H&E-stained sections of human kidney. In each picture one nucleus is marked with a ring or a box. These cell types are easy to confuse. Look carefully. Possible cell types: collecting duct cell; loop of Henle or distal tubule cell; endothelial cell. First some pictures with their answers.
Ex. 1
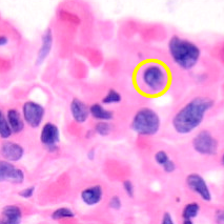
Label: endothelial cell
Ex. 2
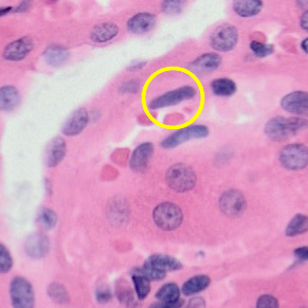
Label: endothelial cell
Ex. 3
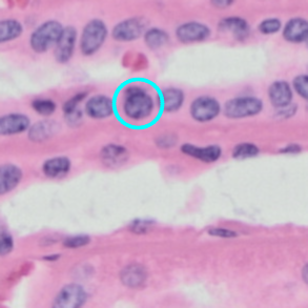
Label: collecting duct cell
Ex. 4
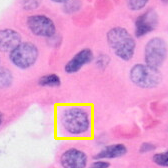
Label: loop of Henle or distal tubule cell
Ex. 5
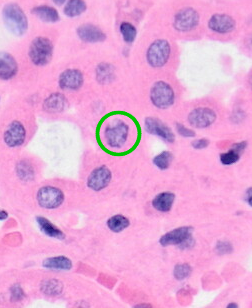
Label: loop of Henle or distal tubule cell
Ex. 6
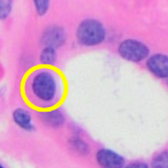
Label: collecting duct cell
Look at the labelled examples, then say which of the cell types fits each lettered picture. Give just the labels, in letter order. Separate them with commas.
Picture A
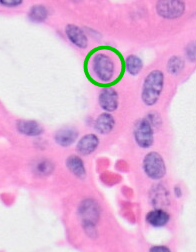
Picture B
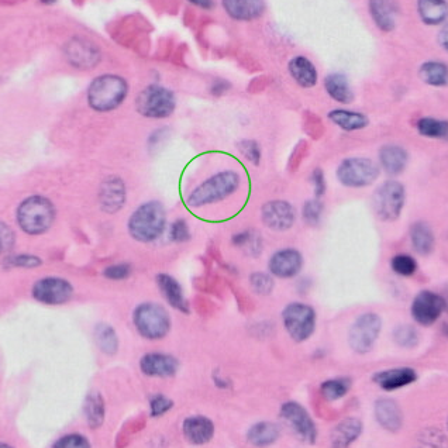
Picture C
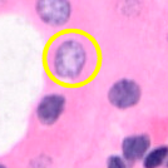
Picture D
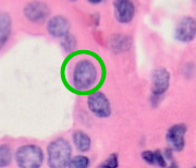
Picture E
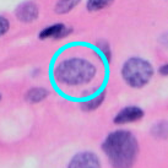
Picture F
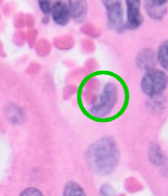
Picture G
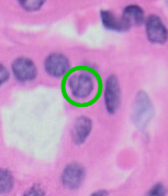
collecting duct cell, collecting duct cell, loop of Henle or distal tubule cell, collecting duct cell, collecting duct cell, endothelial cell, collecting duct cell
